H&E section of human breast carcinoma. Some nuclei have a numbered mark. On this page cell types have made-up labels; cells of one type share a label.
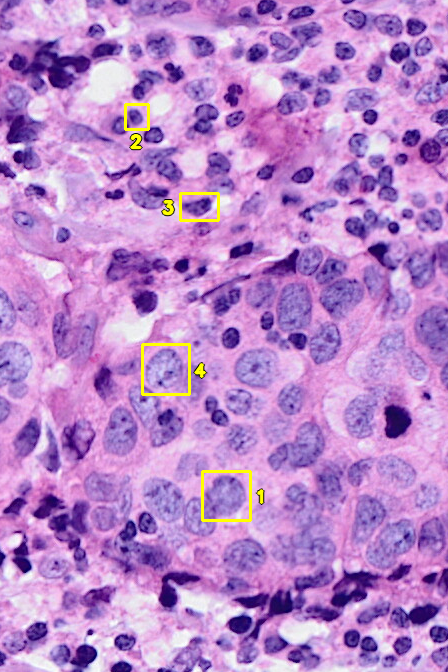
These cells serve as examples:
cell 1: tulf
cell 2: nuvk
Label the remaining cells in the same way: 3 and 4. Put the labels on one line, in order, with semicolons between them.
nuvk; tulf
